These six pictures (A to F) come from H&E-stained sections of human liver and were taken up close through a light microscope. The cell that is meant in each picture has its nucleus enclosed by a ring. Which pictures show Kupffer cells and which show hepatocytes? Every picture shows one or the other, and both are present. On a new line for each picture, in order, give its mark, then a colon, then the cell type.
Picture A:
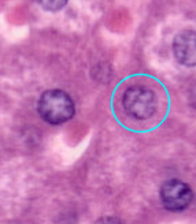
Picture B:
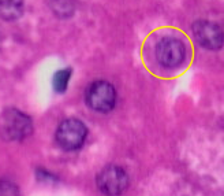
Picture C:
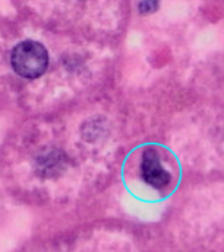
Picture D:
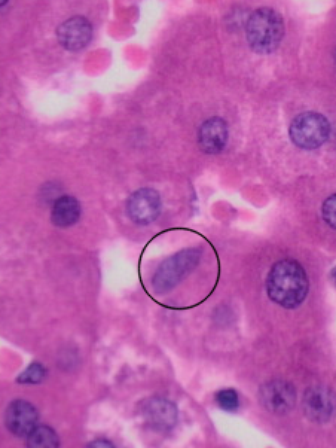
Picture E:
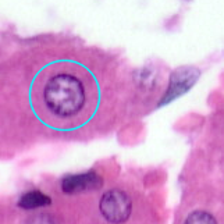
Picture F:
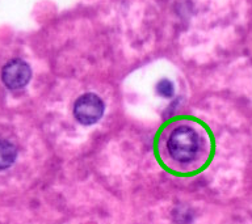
A: hepatocyte
B: hepatocyte
C: Kupffer cell
D: Kupffer cell
E: hepatocyte
F: hepatocyte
